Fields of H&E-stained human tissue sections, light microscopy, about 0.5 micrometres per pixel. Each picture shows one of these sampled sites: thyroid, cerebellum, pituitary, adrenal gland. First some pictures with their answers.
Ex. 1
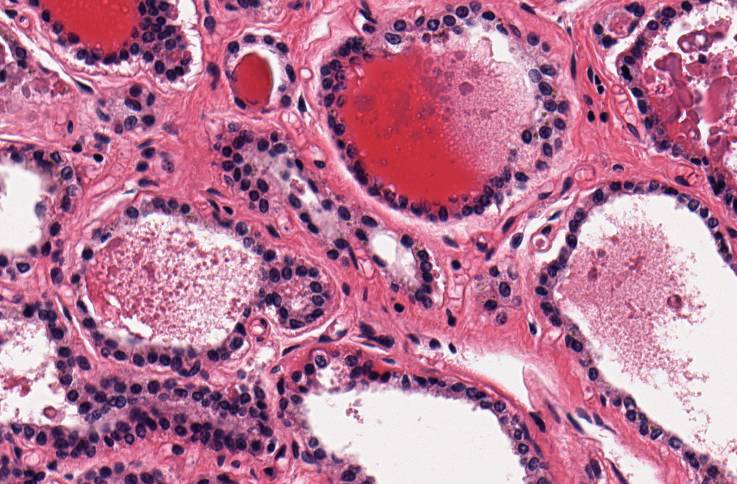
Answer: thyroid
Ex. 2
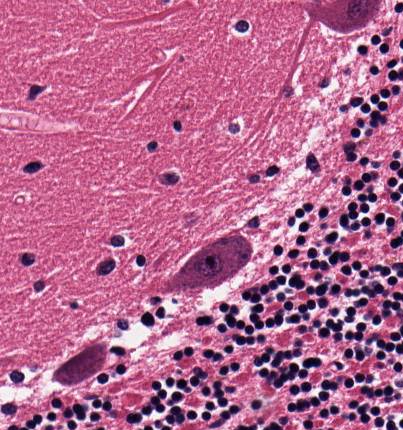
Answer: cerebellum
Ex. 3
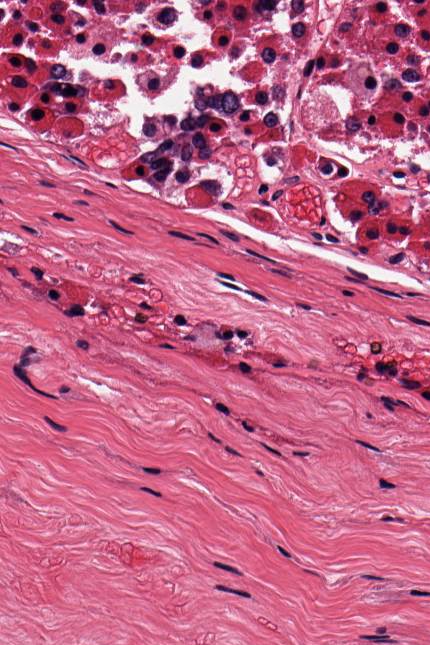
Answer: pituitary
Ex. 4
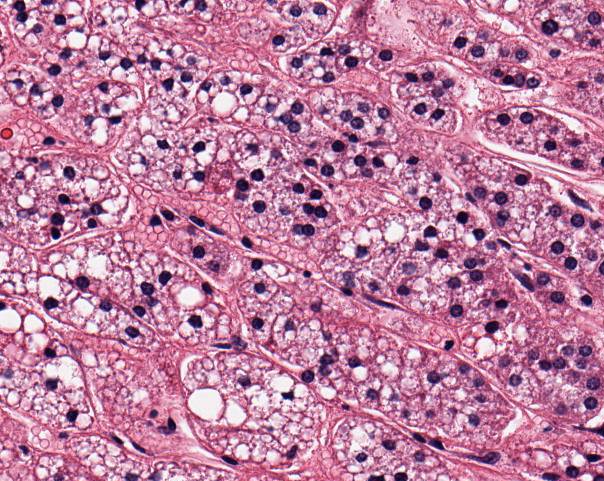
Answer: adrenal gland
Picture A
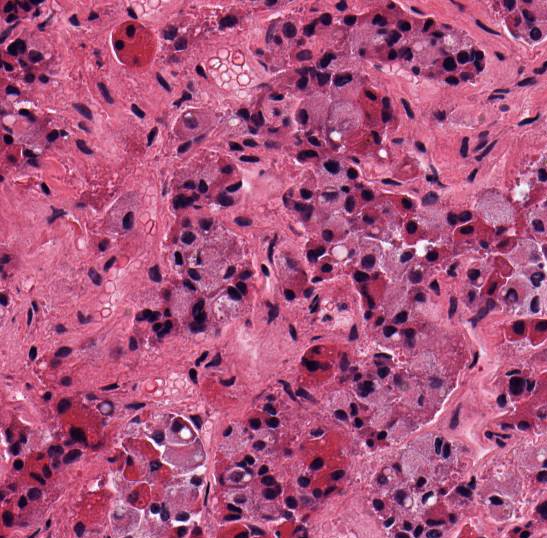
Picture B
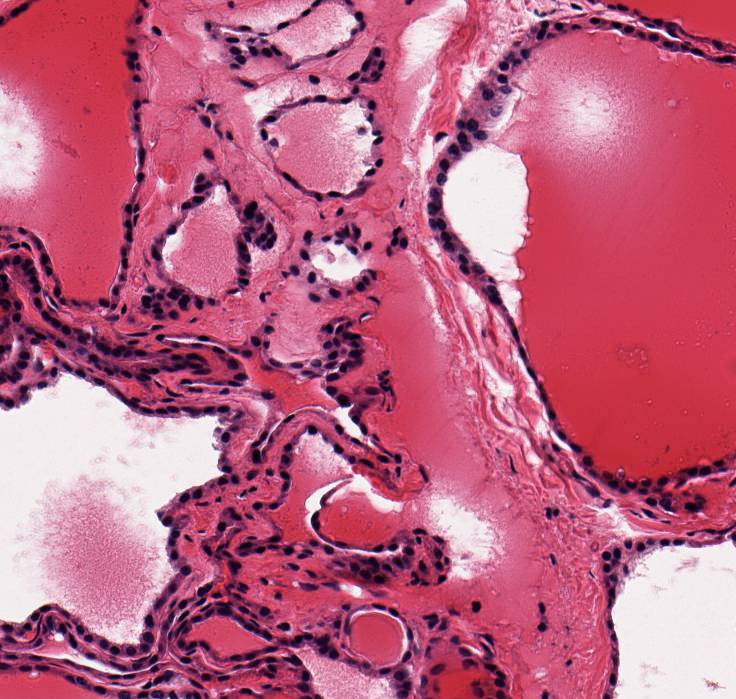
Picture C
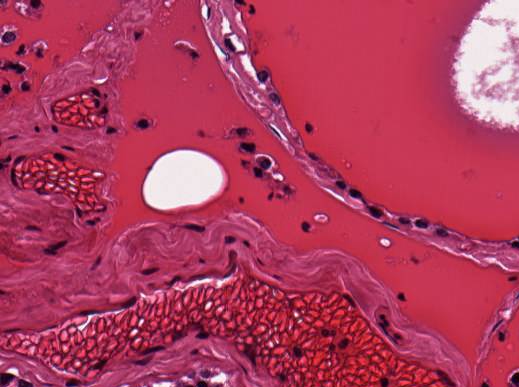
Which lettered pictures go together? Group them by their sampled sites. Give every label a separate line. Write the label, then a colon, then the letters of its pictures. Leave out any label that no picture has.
thyroid: B, C
pituitary: A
